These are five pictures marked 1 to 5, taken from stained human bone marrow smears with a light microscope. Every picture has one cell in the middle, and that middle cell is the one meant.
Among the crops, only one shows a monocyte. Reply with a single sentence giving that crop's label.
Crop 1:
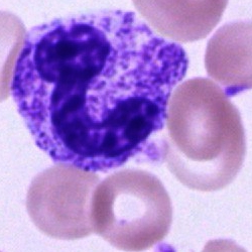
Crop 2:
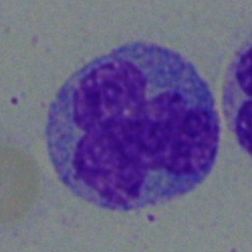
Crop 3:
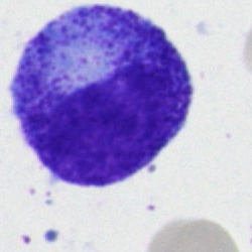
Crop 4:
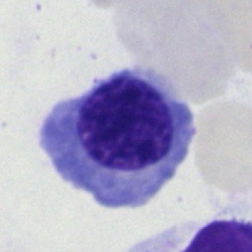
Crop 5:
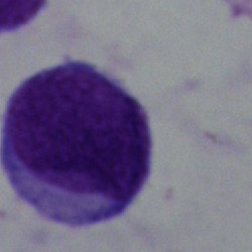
The crop showing a monocyte in this series is crop 2.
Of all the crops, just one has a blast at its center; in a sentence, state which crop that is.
Of the cells presented, the one in crop 5 is a blast.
